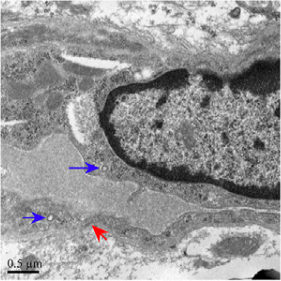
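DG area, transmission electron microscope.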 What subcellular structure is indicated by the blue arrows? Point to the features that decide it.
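Pinocytotic vesicles. Small round pale membrane-bound profiles lie in thin cytoplasm. They sit in the cell lining next to a nucleus.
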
